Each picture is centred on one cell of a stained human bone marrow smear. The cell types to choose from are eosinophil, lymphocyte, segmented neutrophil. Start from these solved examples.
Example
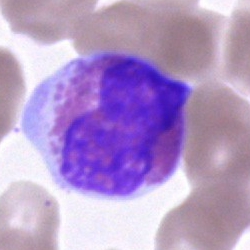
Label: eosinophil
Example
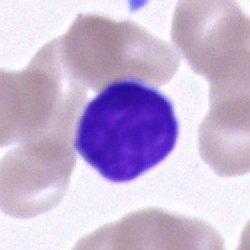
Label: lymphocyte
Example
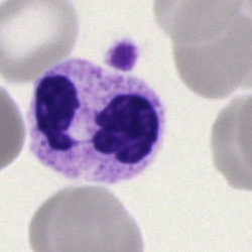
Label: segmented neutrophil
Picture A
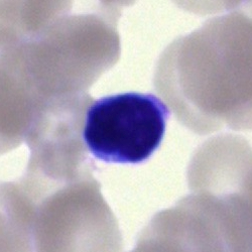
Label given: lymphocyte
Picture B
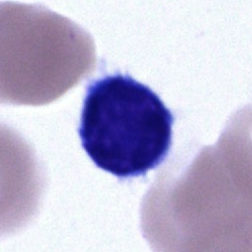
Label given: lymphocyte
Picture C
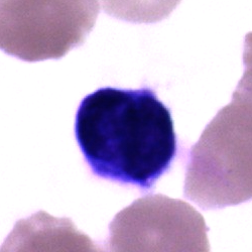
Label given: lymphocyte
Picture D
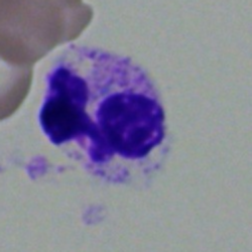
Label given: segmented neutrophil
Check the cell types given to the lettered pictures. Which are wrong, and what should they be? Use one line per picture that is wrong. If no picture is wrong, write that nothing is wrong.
No label is wrong.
